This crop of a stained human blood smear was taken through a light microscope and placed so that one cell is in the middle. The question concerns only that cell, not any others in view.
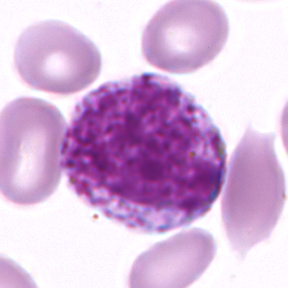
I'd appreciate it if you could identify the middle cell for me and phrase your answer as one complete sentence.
For this crop, the central cell is a metamyelocyte.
